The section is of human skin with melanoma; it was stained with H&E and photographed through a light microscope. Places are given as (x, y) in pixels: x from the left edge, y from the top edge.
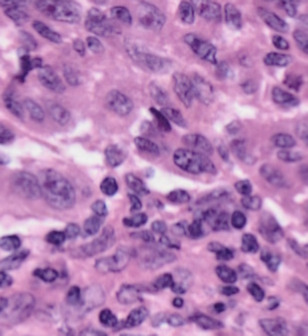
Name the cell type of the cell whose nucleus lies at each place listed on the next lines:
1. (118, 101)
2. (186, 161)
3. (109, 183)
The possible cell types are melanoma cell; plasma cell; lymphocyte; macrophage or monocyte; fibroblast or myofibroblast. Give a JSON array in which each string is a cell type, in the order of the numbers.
["melanoma cell", "melanoma cell", "lymphocyte"]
